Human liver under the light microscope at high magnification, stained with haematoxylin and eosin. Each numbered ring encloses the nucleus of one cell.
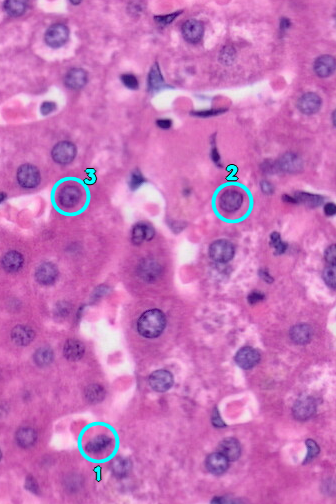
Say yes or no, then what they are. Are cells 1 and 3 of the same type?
No, cell 1 here is a fibroblast or stellate cell, and cell 3 here is a hepatocyte.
